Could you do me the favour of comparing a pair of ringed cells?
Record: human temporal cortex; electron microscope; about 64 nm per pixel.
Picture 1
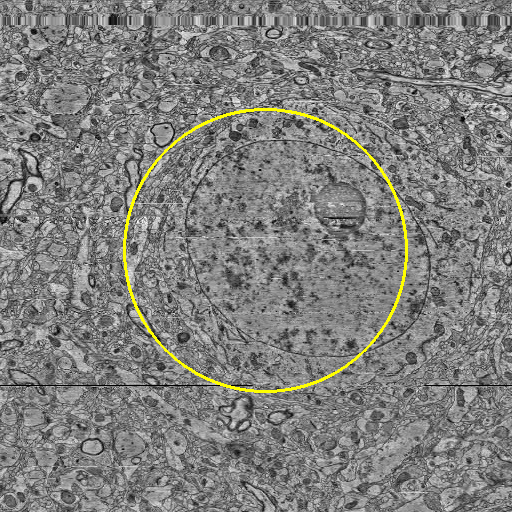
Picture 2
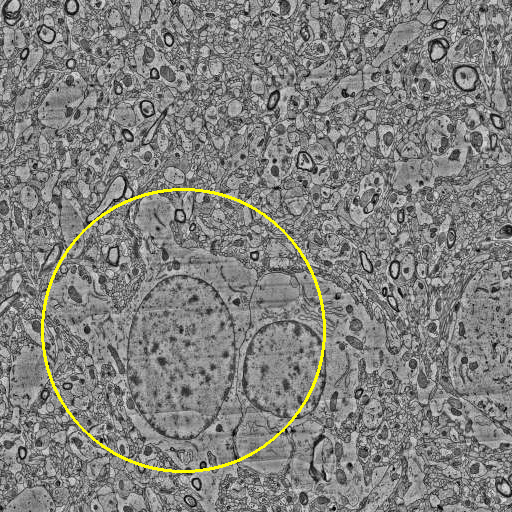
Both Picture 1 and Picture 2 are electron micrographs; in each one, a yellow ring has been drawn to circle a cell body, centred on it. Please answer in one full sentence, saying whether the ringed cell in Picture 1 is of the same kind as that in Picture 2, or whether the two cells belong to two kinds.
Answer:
The ringed cells in Picture 1 and Picture 2 belong to two kinds.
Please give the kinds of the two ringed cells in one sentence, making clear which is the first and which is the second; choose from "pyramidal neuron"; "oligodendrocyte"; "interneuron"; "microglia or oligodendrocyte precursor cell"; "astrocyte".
In the second picture the ringed cell is an astrocyte; in the first it is a pyramidal neuron.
